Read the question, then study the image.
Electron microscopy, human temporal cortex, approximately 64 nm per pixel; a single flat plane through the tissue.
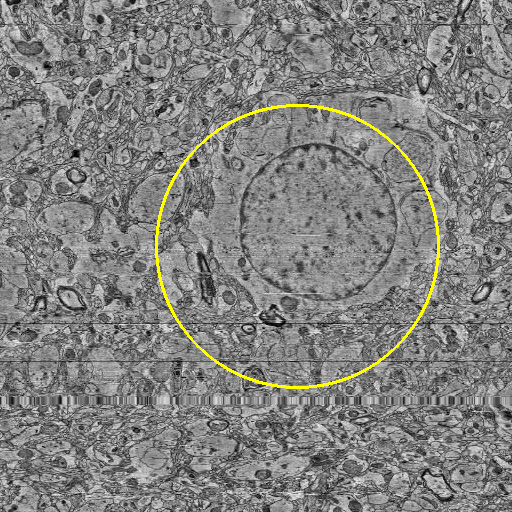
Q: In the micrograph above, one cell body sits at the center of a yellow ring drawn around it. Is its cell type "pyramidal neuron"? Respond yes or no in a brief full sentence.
No, its cell type is another one.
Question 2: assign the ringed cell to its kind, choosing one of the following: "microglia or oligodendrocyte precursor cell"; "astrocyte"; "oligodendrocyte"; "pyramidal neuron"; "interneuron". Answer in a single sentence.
As it turns out, the cell at the ring centre is an astrocyte.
